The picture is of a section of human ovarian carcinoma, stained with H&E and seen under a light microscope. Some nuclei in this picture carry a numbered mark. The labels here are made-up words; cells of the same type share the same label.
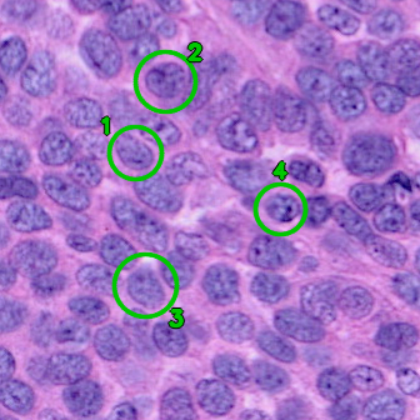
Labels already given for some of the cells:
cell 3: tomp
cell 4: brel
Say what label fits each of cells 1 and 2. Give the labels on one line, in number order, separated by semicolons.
tomp; tomp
